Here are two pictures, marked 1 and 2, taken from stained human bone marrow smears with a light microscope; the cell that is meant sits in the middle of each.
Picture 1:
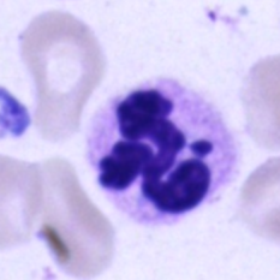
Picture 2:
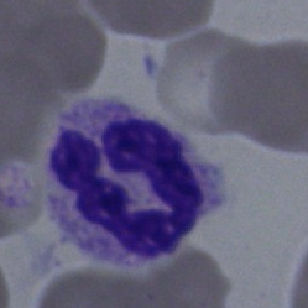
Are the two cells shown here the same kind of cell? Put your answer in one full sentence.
Yes, both are segmented neutrophils.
